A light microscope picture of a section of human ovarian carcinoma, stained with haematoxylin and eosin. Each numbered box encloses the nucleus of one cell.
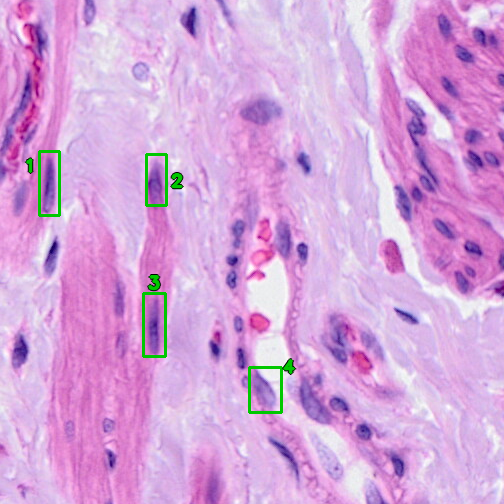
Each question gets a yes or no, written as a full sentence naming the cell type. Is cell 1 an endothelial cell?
No, cell 1 is to be classed as a smooth muscle cell, not an endothelial cell.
